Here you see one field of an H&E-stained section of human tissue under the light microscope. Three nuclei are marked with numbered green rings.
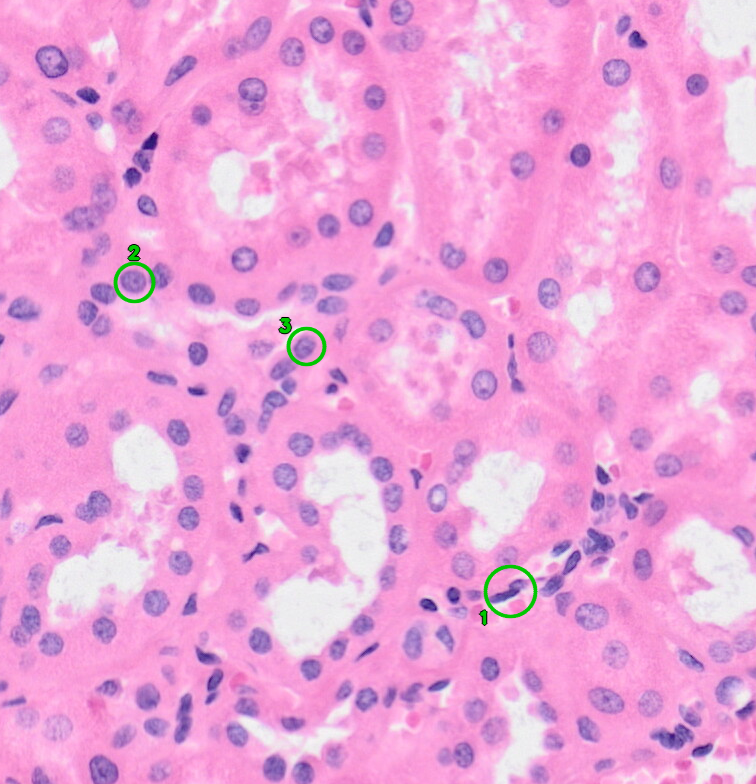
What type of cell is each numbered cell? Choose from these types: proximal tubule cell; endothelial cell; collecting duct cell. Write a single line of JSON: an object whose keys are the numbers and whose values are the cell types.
{"1": "endothelial cell", "2": "collecting duct cell", "3": "collecting duct cell"}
